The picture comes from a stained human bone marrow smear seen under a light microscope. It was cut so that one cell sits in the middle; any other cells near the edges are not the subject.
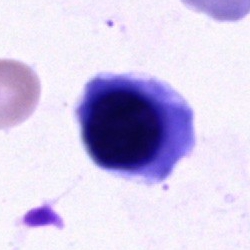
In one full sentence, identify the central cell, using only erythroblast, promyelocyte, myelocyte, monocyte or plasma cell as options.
The cell marked by its central position in the crop is an erythroblast.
